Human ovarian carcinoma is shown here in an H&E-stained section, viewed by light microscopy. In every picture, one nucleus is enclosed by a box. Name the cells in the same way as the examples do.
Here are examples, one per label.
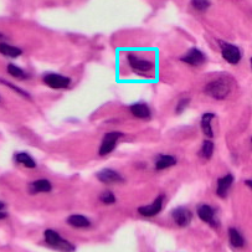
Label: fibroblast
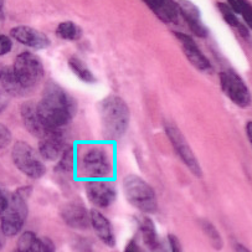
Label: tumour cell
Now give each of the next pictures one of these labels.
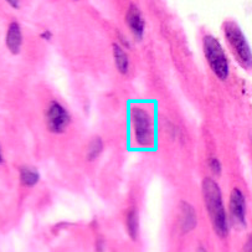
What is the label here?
fibroblast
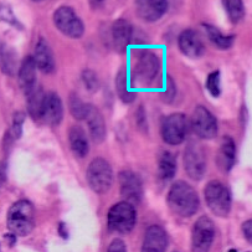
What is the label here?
tumour cell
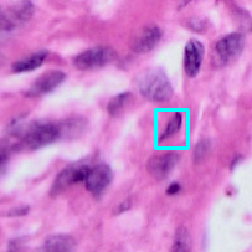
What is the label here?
fibroblast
